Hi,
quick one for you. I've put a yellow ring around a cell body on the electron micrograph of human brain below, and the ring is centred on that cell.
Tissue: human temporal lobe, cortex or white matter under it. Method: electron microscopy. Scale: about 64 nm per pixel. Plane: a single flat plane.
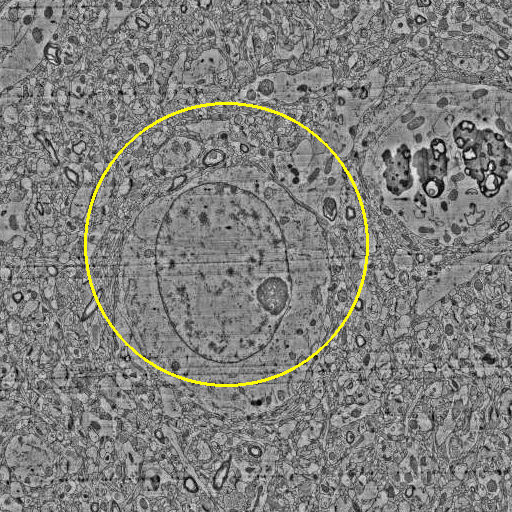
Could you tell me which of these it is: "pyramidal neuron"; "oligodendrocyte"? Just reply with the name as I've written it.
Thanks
pyramidal neuron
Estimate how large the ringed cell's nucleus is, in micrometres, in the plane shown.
In this plane the nucleus is about 12 micrometres by 9.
